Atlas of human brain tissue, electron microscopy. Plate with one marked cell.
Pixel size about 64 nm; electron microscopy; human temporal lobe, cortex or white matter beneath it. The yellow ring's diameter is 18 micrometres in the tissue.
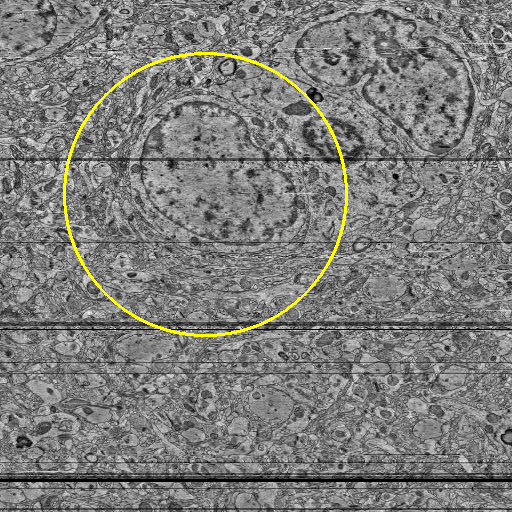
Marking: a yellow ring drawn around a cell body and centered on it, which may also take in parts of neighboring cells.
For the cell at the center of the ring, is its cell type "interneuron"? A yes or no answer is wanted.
No, its cell type is another one.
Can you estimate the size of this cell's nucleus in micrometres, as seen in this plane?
In this plane, approximately 11 by 8 micrometers.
